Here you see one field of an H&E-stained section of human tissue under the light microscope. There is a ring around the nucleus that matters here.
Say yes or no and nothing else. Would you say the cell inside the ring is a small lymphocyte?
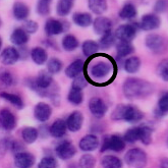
yes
